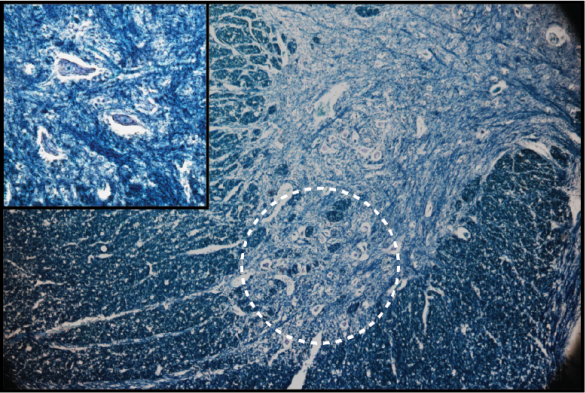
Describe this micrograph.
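This section of spinal cord shows ventral grey matter containing motor neurons, flanked by dark blue-stained white matter. The white matter on the left and at the edges is dense and dark, while the grey matter is paler with a streaky blue network of fibres. Scattered large pale cell bodies are visible in the ventral region. At higher magnification a few elongated neuronal cell bodies sit within an intensely blue fibrous background.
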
